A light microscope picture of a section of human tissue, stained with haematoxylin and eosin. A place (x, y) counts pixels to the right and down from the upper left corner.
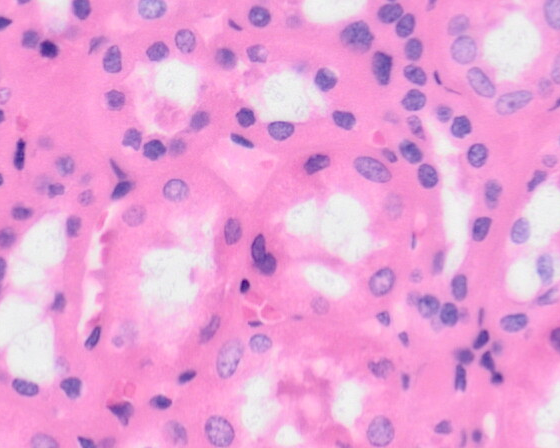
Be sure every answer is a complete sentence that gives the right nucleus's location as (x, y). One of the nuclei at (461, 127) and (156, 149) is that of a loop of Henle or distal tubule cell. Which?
That would be the nucleus at (156, 149); it belongs to a loop of Henle or distal tubule cell.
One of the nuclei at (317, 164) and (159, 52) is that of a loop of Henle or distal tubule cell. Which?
The one at (159, 52) is the nucleus belonging to a loop of Henle or distal tubule cell, not the other one.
